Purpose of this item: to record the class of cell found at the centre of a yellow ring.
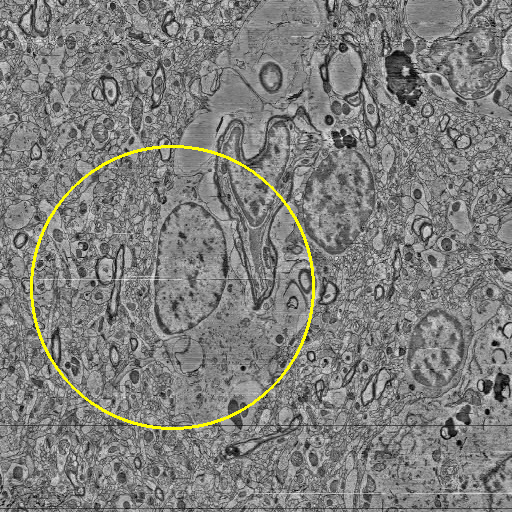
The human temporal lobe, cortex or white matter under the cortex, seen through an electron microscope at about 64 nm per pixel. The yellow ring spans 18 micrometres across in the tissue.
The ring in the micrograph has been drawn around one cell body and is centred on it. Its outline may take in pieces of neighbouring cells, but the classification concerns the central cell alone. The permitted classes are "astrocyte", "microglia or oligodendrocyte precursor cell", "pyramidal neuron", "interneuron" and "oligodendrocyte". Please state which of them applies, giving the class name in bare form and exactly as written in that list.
microglia or oligodendrocyte precursor cell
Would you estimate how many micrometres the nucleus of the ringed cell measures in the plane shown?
Approximately 9 micrometres long and 5 micrometres wide, so clearly longer than it is wide in this plane.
